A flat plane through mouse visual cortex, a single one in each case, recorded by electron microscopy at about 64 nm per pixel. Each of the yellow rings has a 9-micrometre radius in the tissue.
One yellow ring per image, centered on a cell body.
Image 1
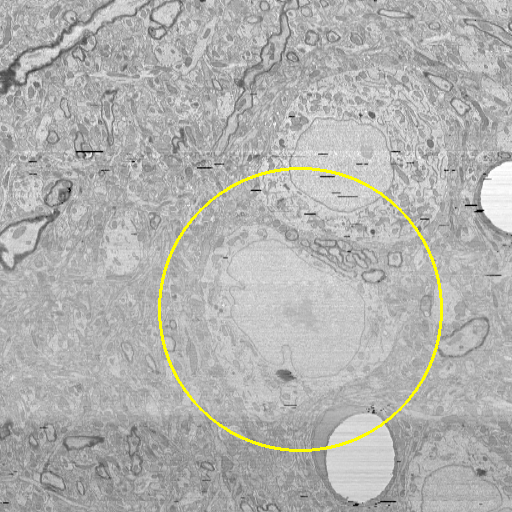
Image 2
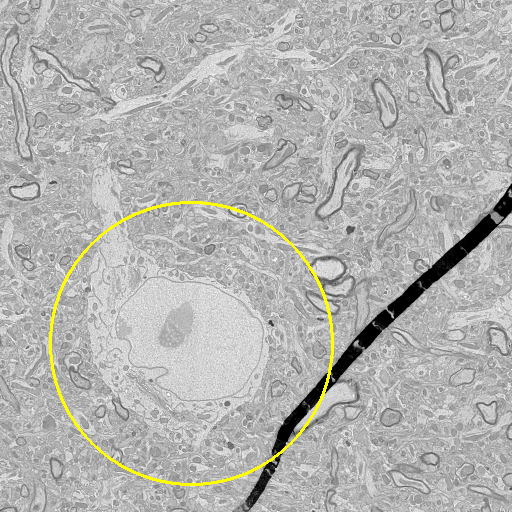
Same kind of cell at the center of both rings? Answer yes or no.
yes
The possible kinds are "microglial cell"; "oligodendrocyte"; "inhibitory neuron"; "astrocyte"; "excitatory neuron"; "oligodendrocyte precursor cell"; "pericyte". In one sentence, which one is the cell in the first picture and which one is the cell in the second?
Both the first and the second picture show an excitatory neuron in the ring.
